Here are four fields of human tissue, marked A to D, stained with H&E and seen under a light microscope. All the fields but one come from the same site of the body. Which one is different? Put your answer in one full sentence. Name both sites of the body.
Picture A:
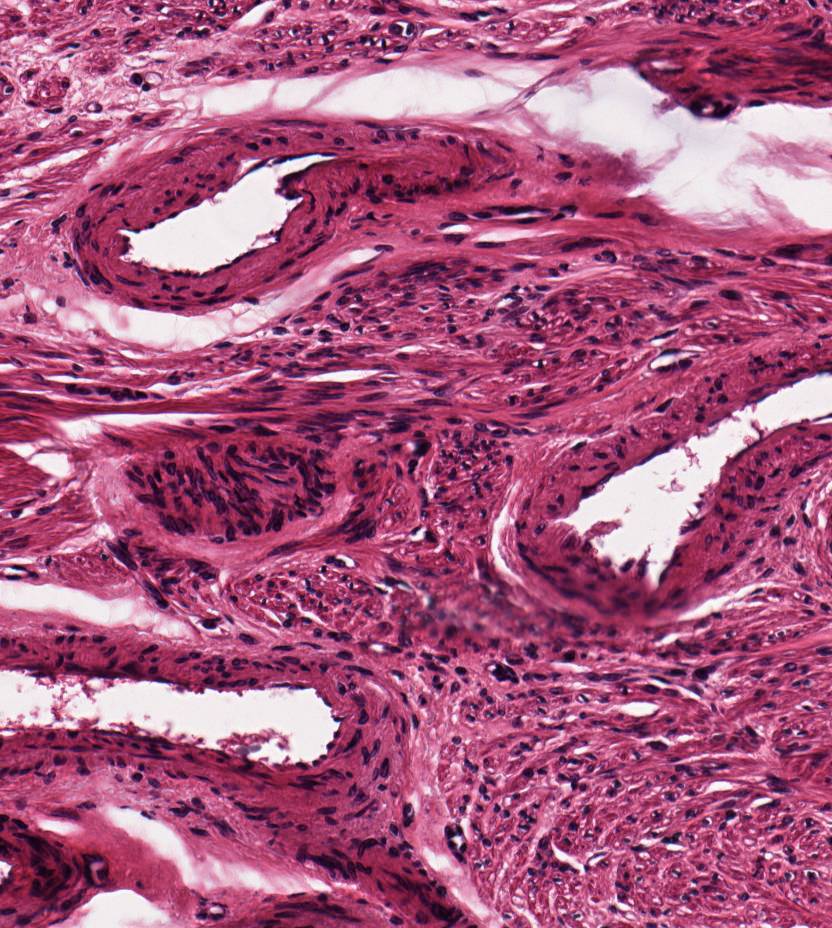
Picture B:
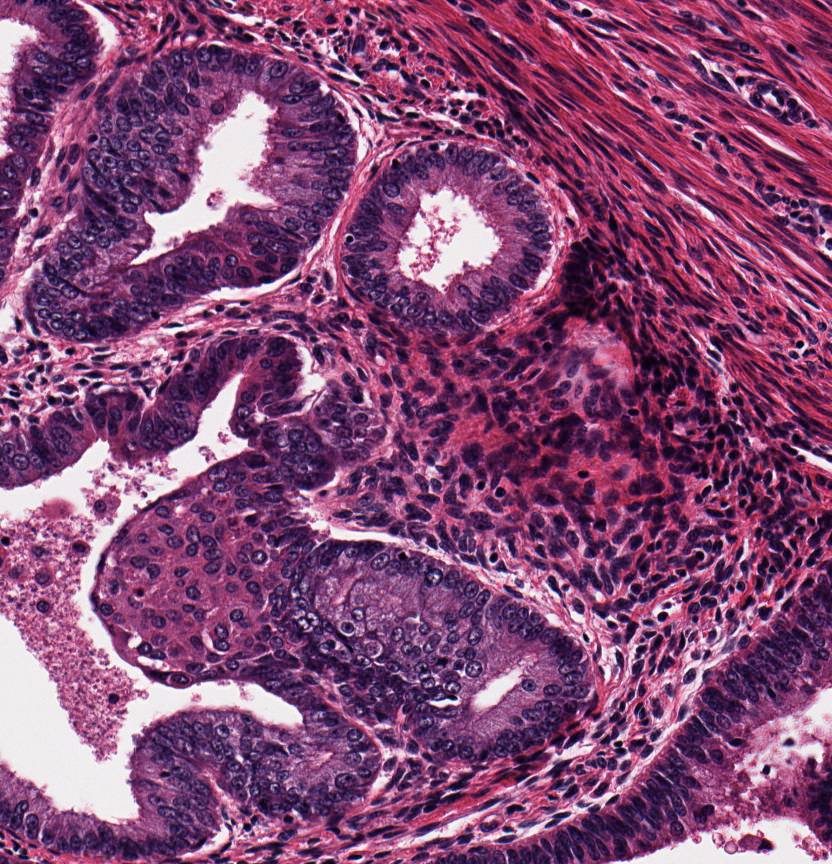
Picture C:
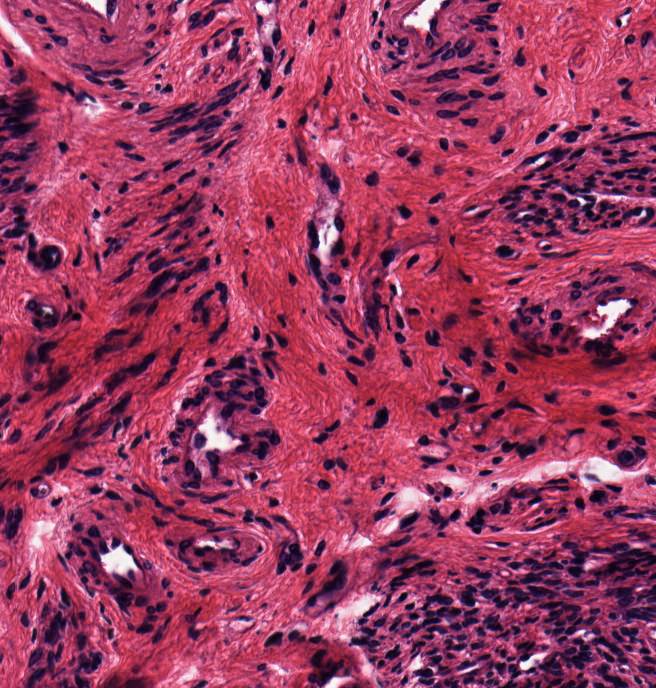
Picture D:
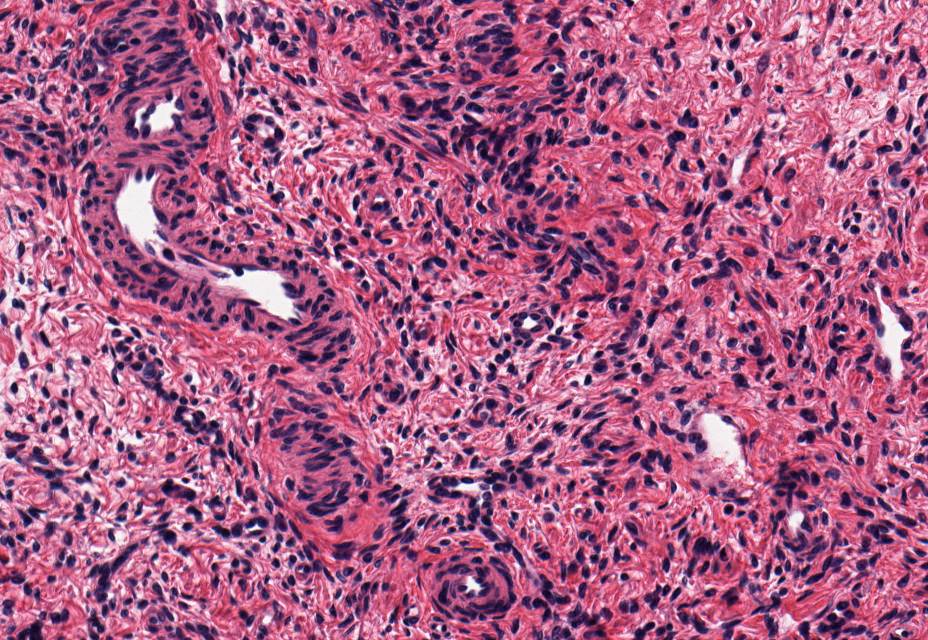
All pictures except D come from the body of the uterus; picture D comes from the ovary.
